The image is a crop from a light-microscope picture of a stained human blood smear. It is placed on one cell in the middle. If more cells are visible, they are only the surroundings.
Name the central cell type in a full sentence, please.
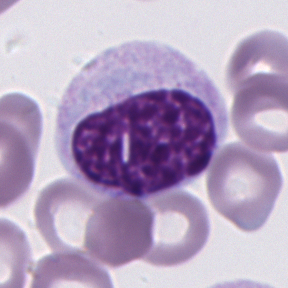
The centered cell in this crop is a metamyelocyte.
